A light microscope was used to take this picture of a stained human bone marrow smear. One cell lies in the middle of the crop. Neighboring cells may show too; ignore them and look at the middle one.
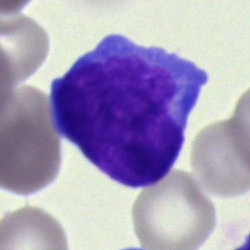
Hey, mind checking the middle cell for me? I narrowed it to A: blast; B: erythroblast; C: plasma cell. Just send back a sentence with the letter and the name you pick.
Identification: the cell in the middle is a blast, matching option A.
